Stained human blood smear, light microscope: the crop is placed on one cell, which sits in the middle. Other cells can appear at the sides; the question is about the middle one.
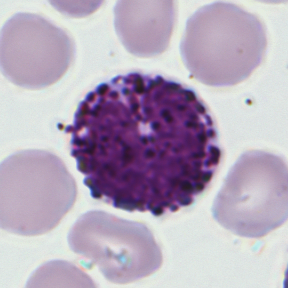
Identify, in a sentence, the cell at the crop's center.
Looking at the middle of the crop, the cell there is a basophil.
